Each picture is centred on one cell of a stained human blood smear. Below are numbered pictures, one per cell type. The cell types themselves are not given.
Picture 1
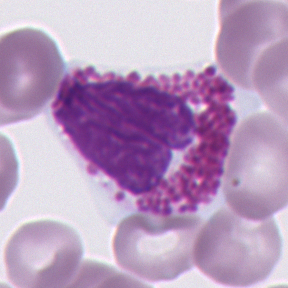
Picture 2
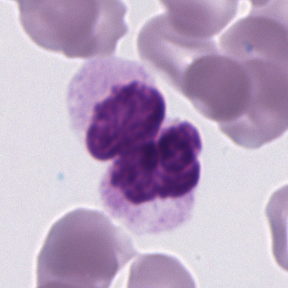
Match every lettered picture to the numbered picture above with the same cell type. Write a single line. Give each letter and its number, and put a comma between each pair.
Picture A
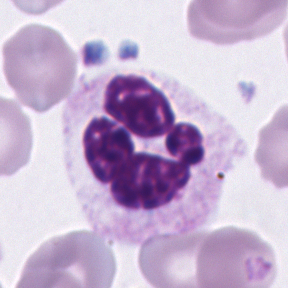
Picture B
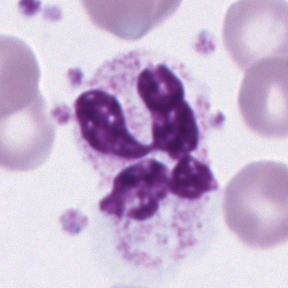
A 2, B 2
